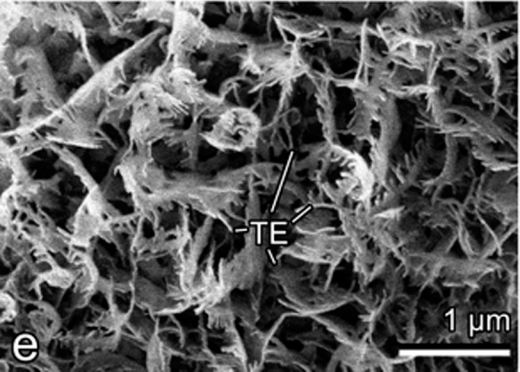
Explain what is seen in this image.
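The margins of many platelets are not smooth but frayed into fine, thread-like extensions that give them a feathery or comb-like edge. The platelets bend and curl, and some form small rounded loops. Together they make a tangled, open meshwork with dark spaces between the sheets.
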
